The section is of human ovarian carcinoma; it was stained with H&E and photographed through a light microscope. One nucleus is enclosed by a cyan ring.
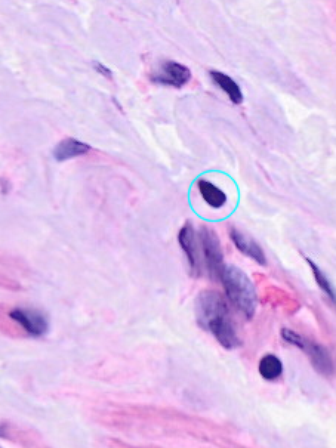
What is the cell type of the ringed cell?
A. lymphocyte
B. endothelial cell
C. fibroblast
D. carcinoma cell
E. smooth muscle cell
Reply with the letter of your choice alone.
A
